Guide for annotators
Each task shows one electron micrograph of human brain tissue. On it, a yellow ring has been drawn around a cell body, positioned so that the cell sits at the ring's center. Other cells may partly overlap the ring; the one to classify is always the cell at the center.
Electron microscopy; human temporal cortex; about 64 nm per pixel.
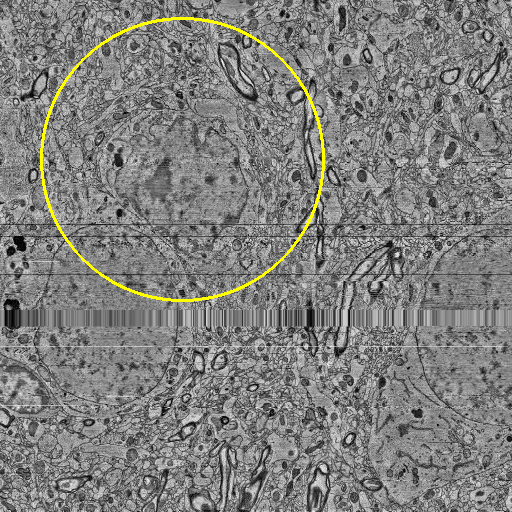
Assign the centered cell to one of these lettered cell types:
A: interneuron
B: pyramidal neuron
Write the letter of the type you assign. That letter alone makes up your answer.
A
